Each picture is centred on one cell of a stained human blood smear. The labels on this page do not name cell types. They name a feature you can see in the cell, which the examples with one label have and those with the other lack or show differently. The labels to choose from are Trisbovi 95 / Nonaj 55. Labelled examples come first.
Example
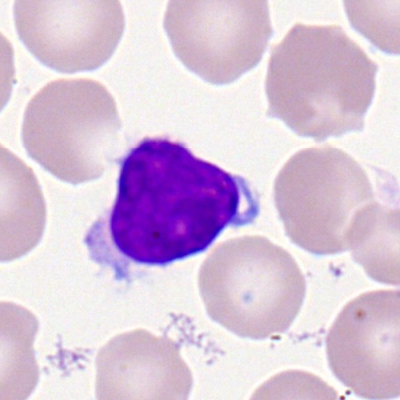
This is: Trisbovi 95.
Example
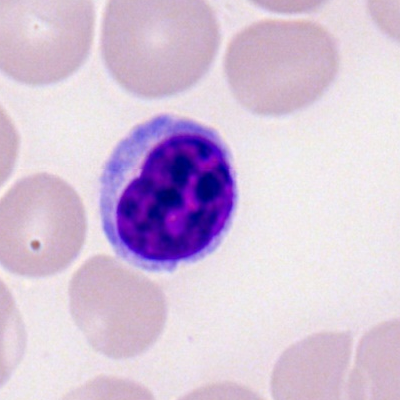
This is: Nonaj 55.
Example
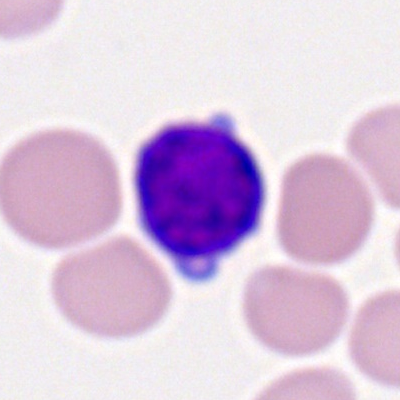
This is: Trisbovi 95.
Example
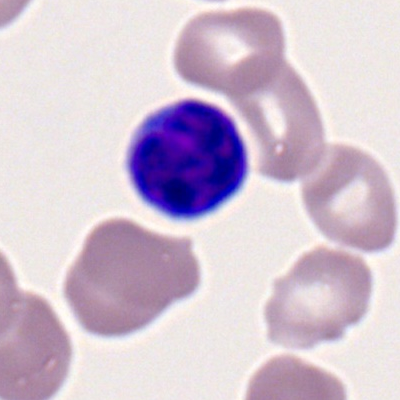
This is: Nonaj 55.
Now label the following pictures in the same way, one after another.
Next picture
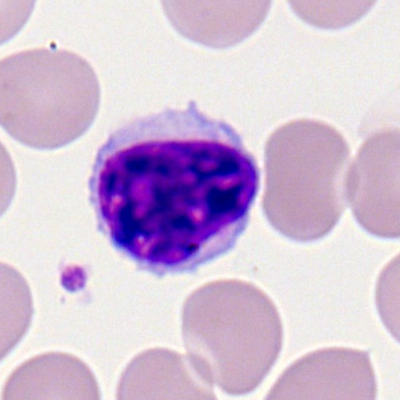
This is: Trisbovi 95.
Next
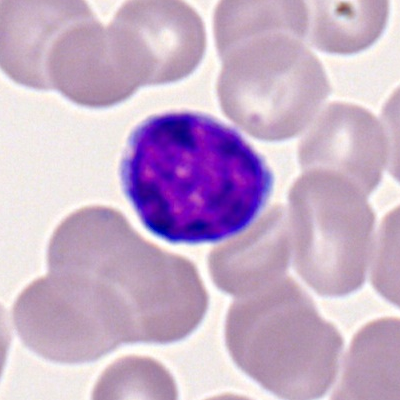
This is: Nonaj 55.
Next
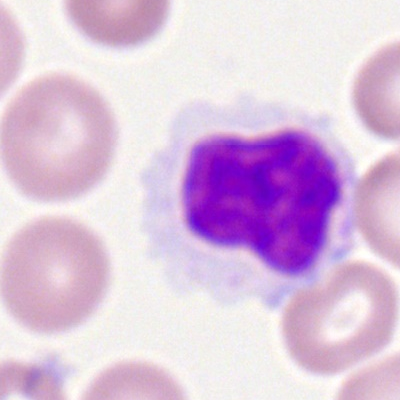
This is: Trisbovi 95.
